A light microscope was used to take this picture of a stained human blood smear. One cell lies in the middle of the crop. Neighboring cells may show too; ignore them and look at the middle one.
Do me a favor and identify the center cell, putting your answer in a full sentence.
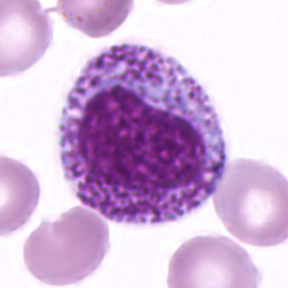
Centrally within this crop lies a myelocyte.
